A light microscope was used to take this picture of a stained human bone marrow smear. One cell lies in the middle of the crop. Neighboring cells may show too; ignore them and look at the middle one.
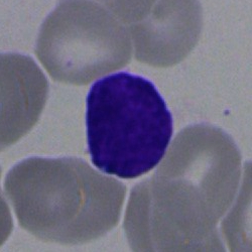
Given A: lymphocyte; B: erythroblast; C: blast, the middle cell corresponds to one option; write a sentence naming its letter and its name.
Option A gives the correct identity of the central cell, namely a lymphocyte.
